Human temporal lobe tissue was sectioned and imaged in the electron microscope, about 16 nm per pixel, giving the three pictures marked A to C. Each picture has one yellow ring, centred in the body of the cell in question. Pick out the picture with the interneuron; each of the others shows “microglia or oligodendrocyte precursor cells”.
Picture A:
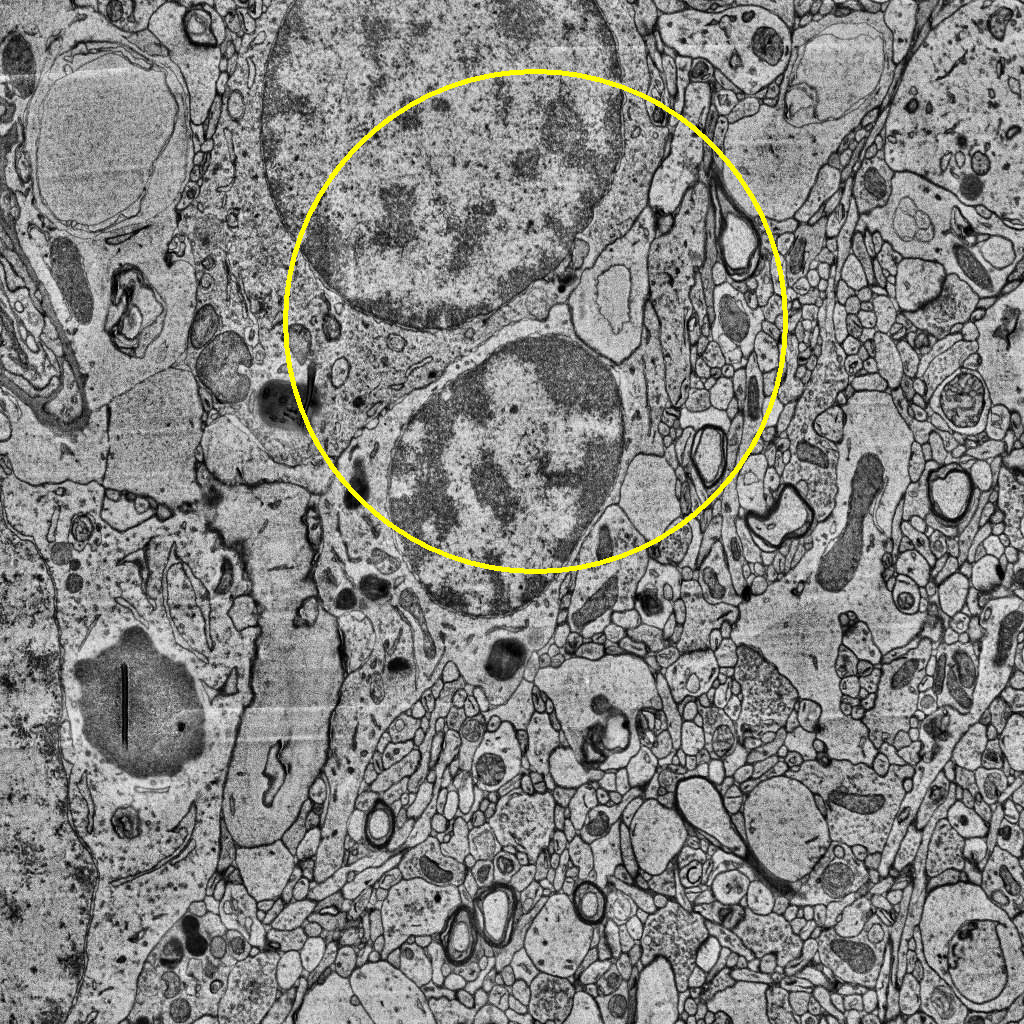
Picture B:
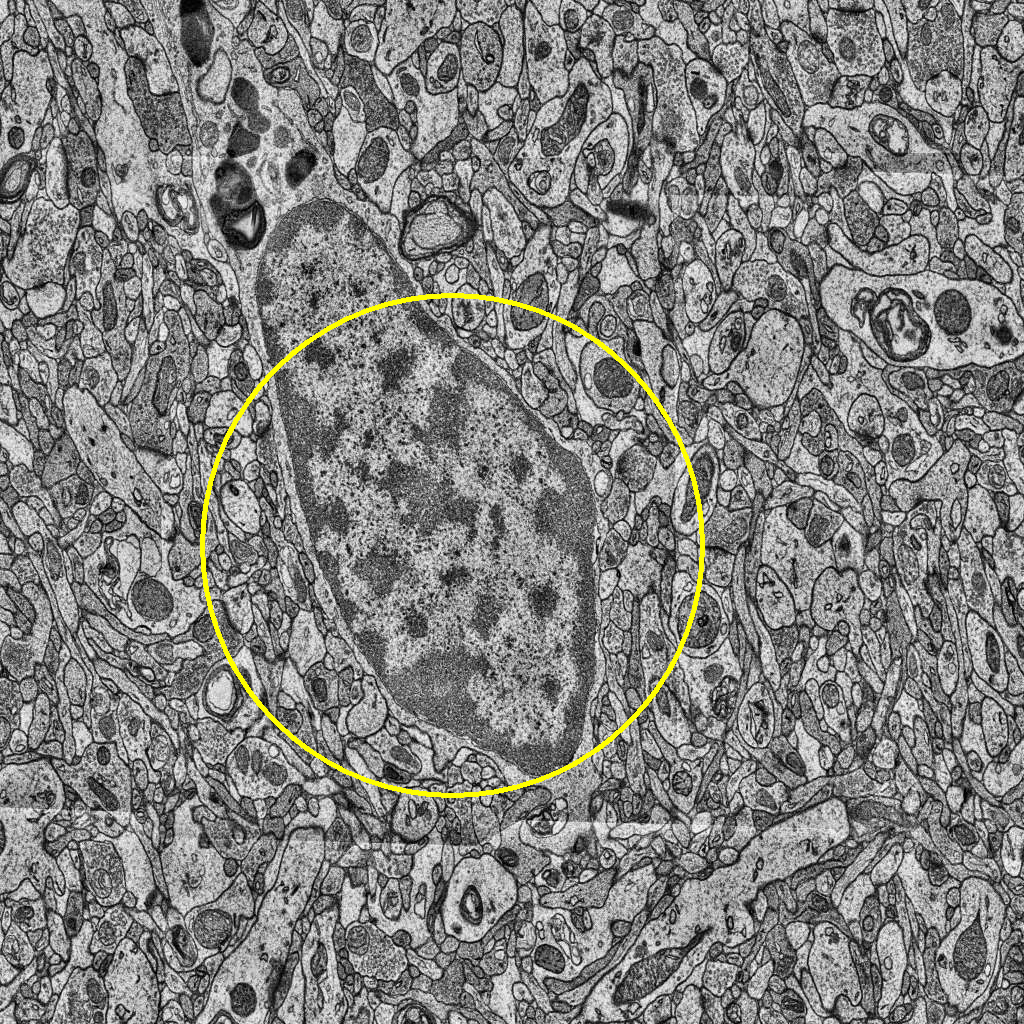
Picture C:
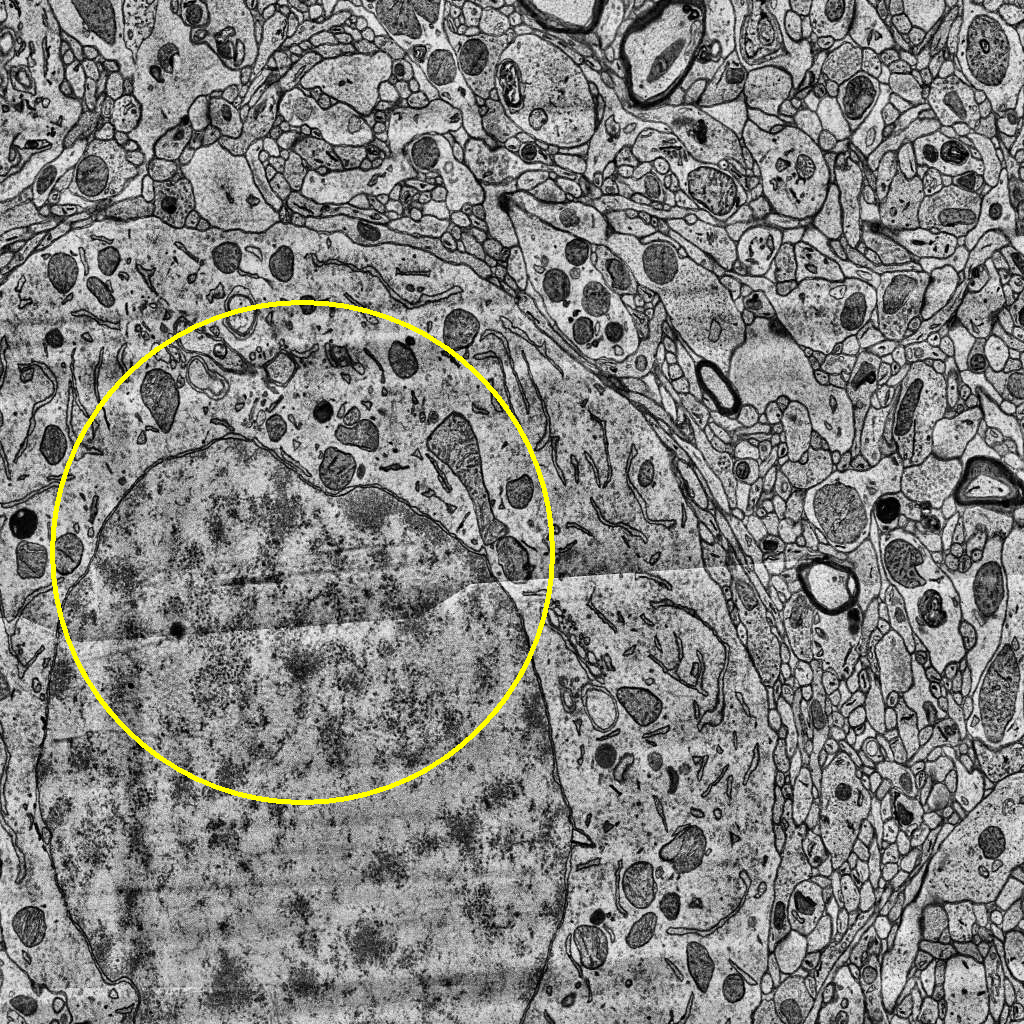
The cell in picture C is the interneuron.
